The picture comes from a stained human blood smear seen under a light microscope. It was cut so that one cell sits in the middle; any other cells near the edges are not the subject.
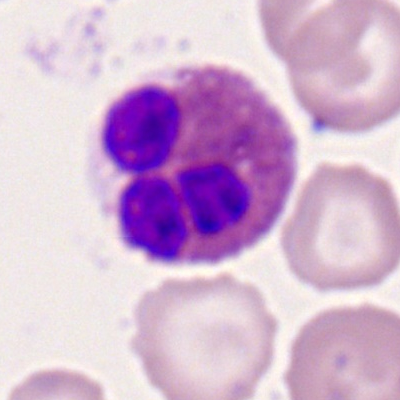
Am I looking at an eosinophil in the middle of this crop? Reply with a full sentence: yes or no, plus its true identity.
Yes, the cell at the center of the crop is an eosinophil.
